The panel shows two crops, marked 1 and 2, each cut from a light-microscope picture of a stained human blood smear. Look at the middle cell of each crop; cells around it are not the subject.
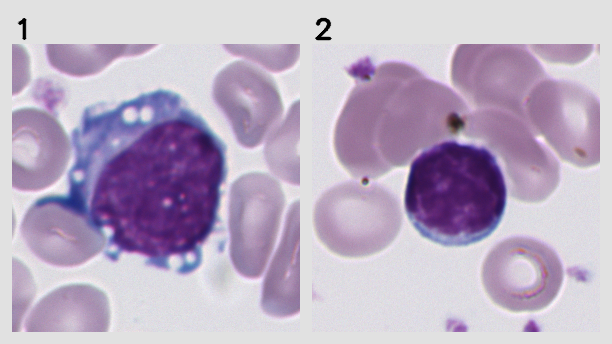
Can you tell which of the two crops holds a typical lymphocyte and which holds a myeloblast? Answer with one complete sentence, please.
Well, crop 1 is a myeloblast, and crop 2 is a typical lymphocyte.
